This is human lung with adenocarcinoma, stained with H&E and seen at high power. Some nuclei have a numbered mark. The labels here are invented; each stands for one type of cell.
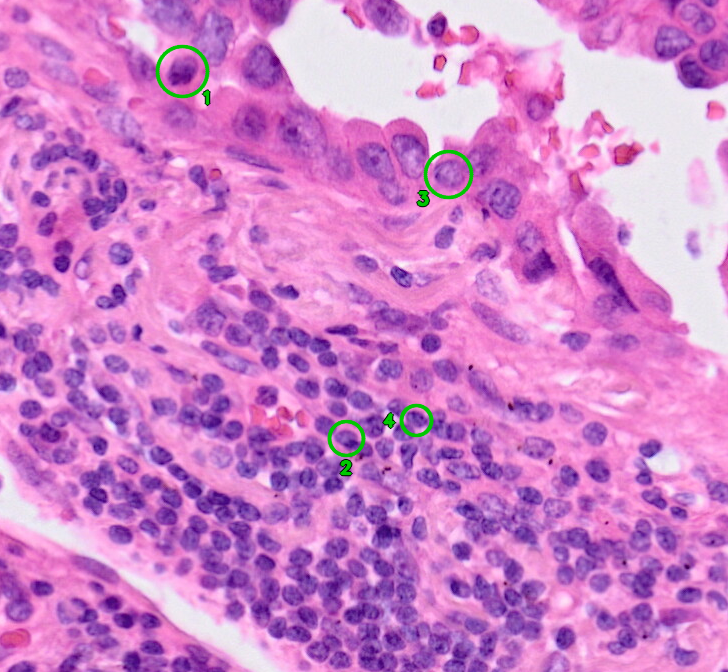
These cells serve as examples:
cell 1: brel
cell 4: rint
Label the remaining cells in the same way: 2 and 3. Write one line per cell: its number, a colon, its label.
2: rint
3: brel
